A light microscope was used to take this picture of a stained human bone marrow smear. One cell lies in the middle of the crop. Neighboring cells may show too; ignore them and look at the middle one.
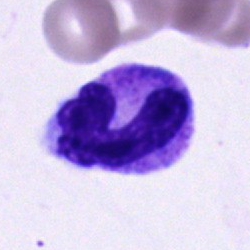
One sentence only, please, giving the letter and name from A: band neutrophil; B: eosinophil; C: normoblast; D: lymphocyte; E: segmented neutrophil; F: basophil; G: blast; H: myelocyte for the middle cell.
Here the right option is A, as the cell in the middle is a band neutrophil.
